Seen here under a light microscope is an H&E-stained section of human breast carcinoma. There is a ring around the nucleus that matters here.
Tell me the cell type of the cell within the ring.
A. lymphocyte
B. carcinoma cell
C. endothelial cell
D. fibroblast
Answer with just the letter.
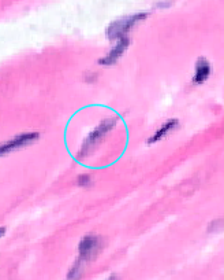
D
